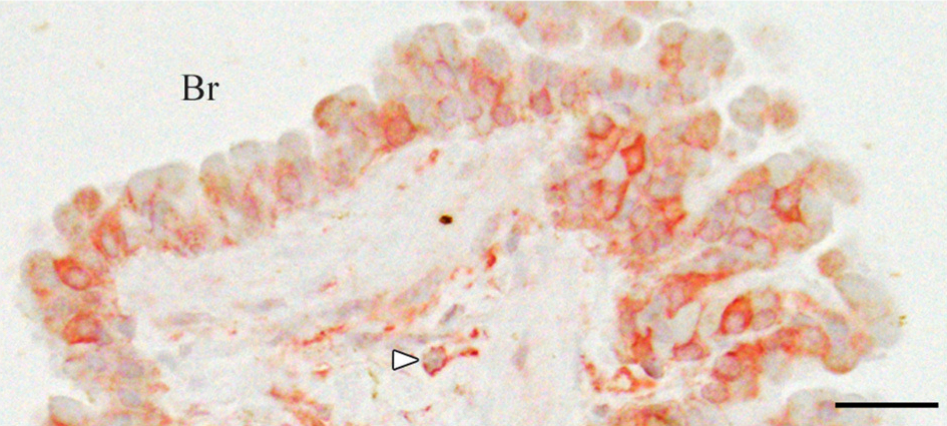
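Here a fold of bronchial wall projects into the airway lumen at upper left. The fold is covered by closely packed columnar epithelial cells whose rounded blue-grey nuclei sit within cytoplasm, and whose cell borders are outlined in red-brown, some cells more intensely than others. The core of the fold is pale, loose connective tissue with sparse elongated nuclei and a few scattered red-brown dots and streaks. Within this core lies a small rounded cell stained red-brown, separate from the epithelium.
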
